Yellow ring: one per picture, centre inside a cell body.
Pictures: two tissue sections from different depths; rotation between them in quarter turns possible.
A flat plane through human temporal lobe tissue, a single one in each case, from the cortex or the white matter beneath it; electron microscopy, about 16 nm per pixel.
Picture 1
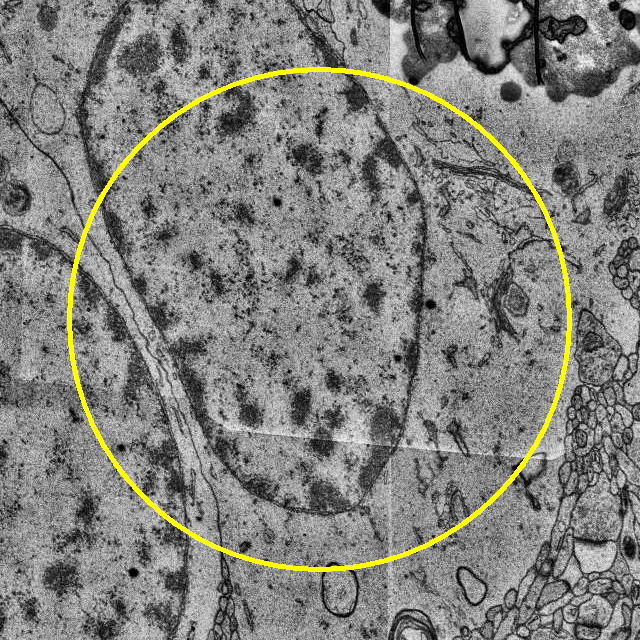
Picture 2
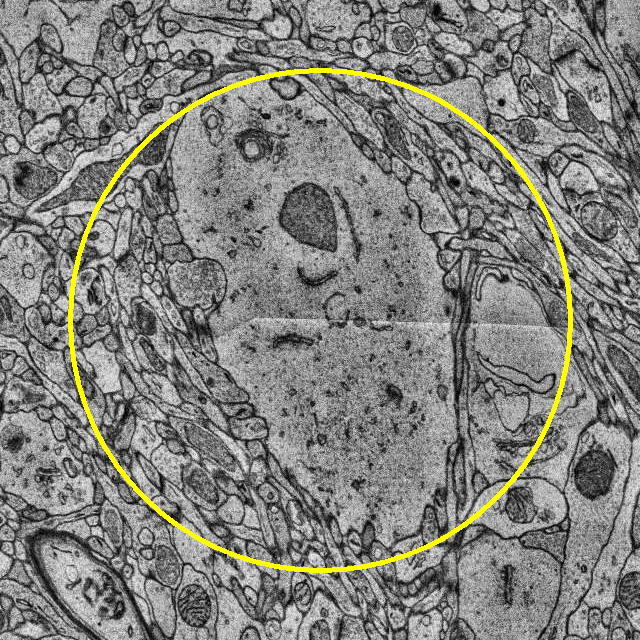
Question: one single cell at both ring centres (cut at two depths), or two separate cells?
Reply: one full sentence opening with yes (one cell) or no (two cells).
Yes, the two marked outlines come from one and the same cell.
